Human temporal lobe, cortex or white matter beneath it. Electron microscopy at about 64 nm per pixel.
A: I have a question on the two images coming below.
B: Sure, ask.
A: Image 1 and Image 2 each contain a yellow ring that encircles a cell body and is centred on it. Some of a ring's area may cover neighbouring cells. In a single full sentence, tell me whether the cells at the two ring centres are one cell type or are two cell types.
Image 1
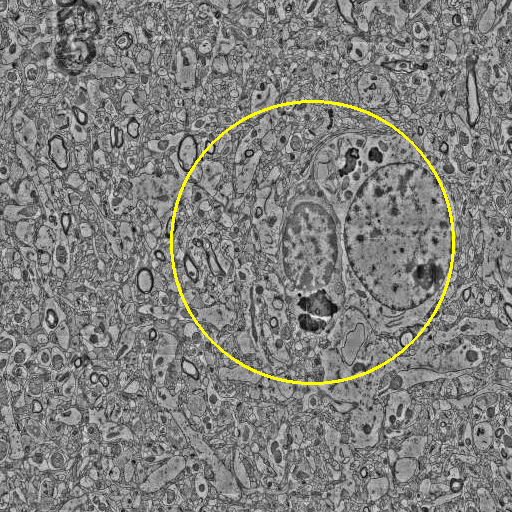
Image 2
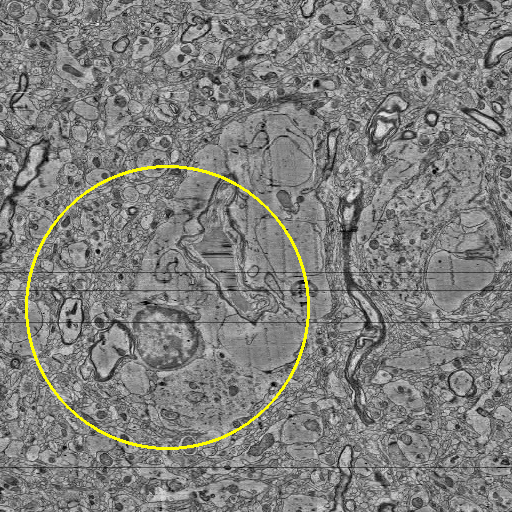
As for the ring-centre cells, the one in Image 1 and the one in Image 2 are one cell type.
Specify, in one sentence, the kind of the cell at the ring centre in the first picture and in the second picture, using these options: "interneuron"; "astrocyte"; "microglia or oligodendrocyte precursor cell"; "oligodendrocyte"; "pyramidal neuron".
Each of the two pictures has an oligodendrocyte at the ring centre.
